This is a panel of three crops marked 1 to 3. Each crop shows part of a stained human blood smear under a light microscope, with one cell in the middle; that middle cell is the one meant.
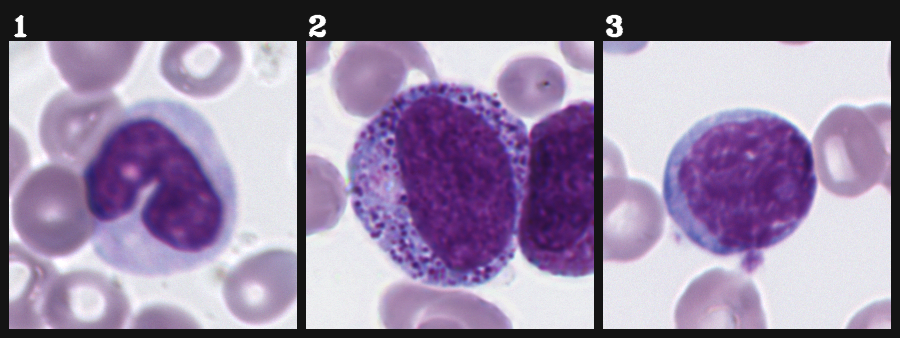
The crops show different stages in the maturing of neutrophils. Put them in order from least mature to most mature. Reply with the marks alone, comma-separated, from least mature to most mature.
3, 2, 1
